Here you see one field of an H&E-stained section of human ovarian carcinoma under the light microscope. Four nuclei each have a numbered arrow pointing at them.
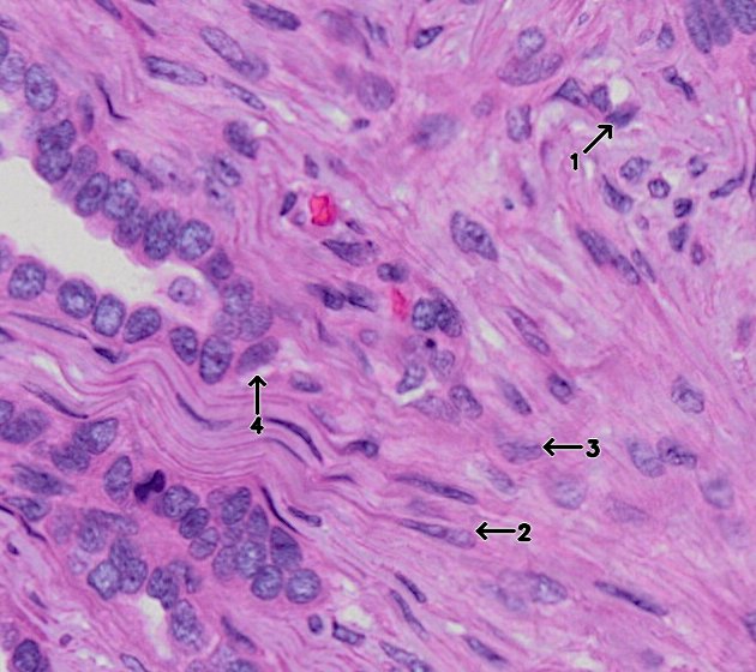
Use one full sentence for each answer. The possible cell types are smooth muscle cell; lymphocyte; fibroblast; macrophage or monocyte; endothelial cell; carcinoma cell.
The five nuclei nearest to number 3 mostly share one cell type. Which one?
Fibroblasts account for more than half of the five nuclei nearest to number 3.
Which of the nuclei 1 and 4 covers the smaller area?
Nucleus 1 is the smaller one; nucleus 4 covers about 2 times its area.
